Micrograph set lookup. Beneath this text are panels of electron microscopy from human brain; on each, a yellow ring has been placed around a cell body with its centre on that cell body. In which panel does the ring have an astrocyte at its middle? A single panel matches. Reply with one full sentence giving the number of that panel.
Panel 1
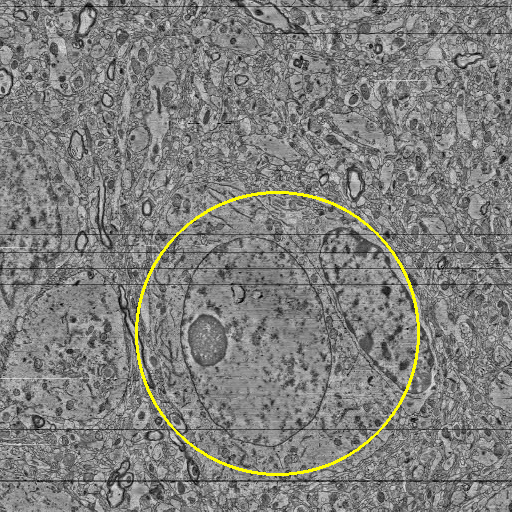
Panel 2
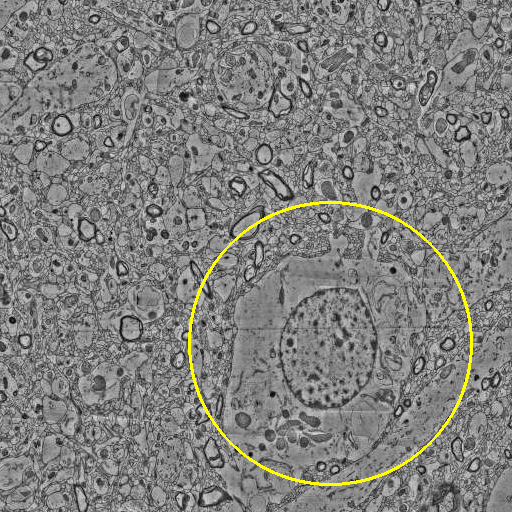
Panel 2 is the one whose ring has the sought cell at its centre.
